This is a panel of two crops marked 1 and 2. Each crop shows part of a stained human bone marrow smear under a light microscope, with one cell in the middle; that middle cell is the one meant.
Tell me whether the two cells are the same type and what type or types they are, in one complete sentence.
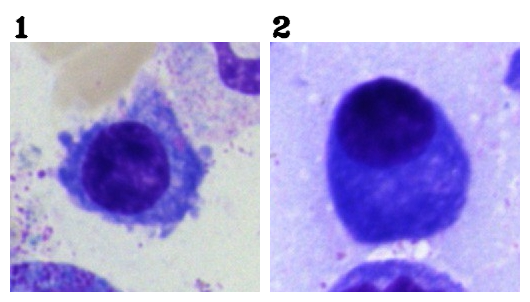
Yes, shown in both crops are plasma cells.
